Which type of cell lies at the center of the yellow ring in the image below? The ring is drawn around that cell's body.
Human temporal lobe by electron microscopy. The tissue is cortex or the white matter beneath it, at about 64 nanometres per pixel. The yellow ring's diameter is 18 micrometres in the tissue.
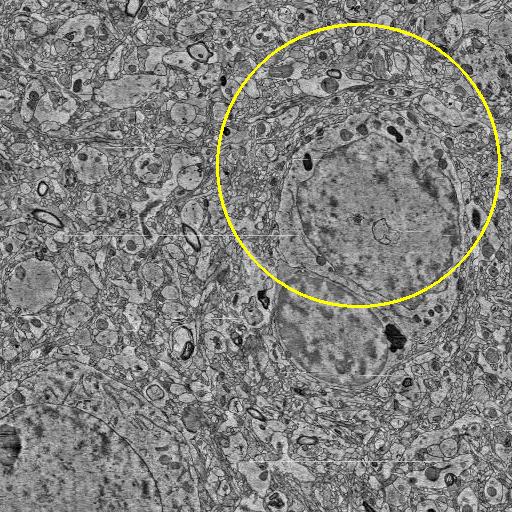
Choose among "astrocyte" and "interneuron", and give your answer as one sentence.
The cell body at the center belongs to an interneuron.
